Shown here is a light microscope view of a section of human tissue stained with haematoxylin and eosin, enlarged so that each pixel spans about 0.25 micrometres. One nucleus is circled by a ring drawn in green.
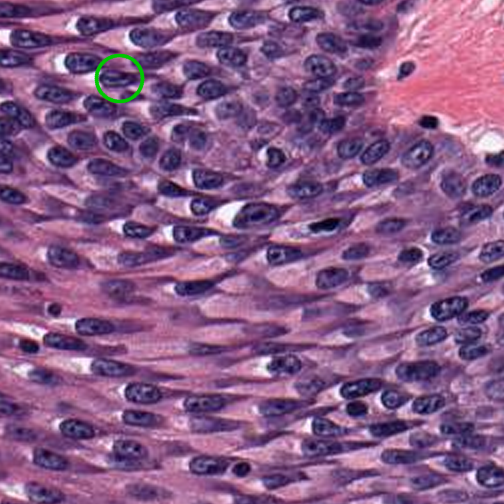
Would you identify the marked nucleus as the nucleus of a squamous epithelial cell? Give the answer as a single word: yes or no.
yes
